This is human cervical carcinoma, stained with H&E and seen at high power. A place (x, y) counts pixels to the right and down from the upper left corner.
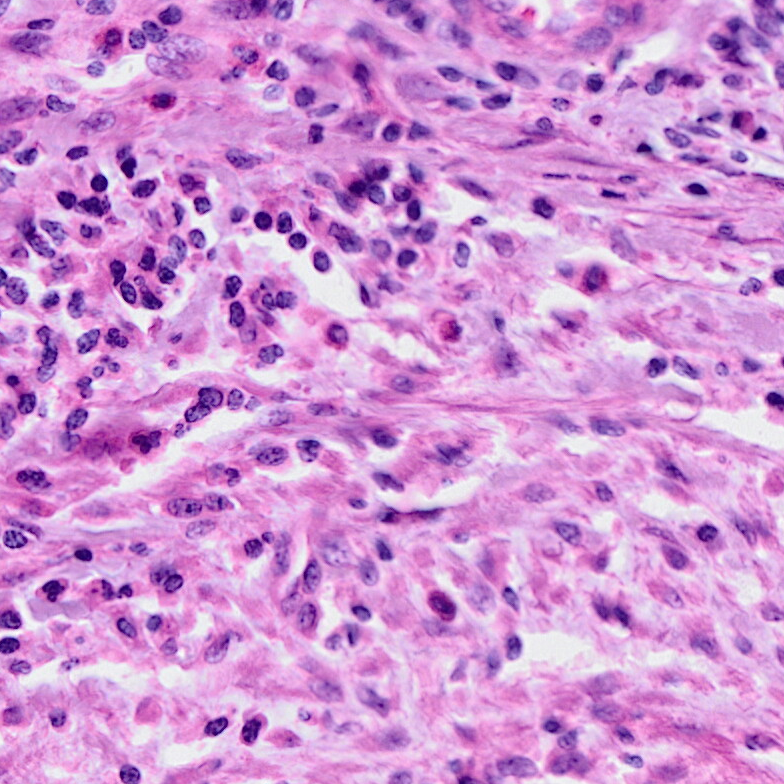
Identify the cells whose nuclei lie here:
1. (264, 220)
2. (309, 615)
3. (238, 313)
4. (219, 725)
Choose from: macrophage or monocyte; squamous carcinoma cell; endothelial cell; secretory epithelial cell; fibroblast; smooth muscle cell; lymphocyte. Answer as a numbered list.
1. lymphocyte
2. macrophage or monocyte
3. lymphocyte
4. lymphocyte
